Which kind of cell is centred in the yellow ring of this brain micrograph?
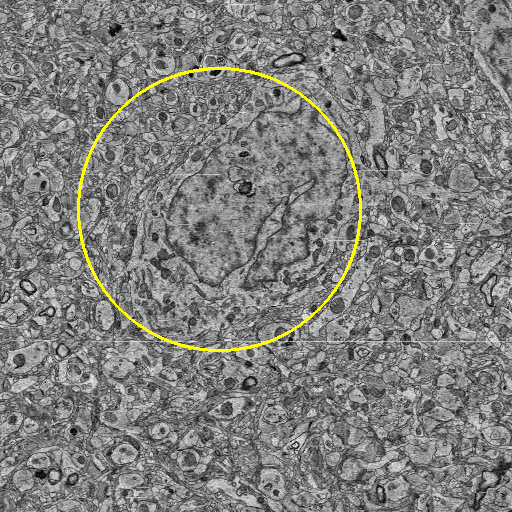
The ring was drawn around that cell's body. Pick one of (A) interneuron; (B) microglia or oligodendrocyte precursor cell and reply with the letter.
A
